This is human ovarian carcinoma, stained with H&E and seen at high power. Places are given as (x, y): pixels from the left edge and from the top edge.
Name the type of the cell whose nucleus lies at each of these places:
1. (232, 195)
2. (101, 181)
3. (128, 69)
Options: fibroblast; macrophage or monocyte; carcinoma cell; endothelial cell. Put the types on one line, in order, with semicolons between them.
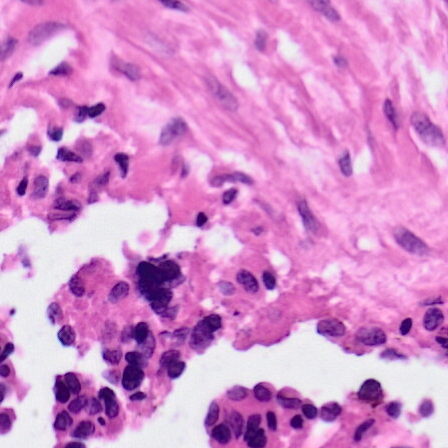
fibroblast; macrophage or monocyte; fibroblast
